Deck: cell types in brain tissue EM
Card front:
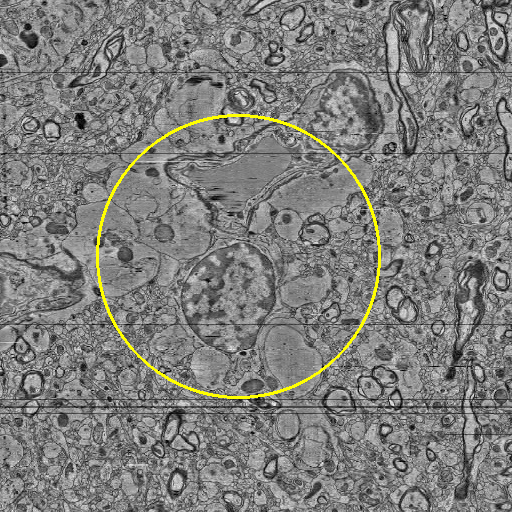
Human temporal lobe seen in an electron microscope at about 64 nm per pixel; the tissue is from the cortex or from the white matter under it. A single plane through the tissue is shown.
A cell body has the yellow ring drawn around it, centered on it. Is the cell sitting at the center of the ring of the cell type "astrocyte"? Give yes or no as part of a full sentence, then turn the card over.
No, on this card the yellow ring is centered on a cell of a different type.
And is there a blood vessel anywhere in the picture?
Yes, the image shows a blood vessel.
